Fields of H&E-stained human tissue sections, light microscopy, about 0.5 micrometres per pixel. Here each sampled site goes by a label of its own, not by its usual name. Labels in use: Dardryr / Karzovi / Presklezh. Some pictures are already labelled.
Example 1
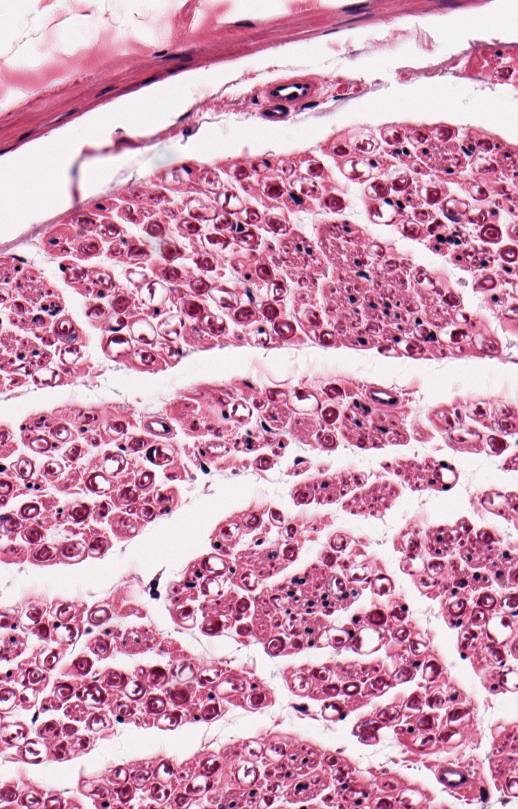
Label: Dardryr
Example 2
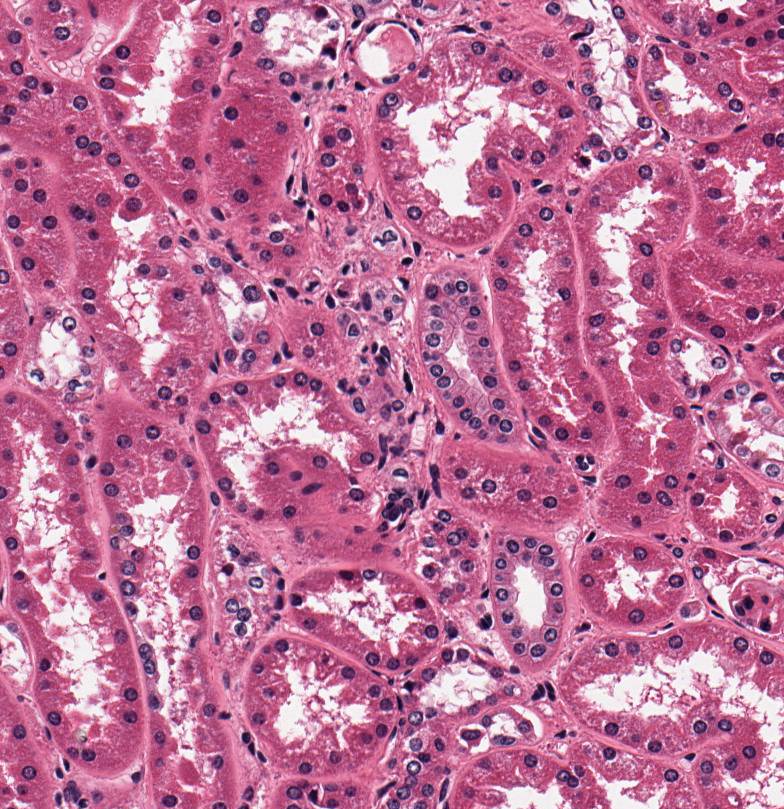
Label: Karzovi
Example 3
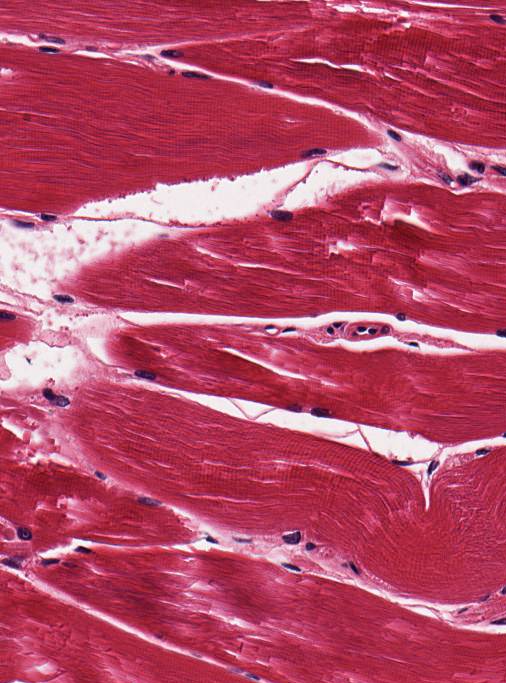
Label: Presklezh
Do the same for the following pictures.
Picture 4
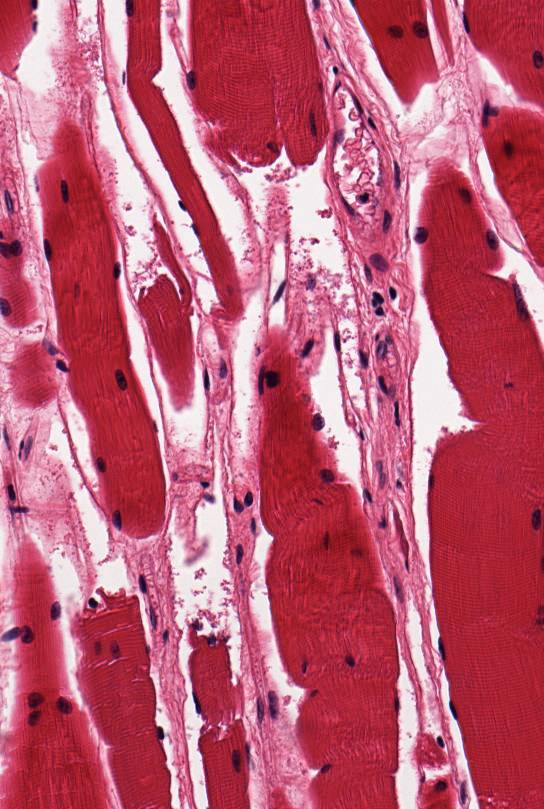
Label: Presklezh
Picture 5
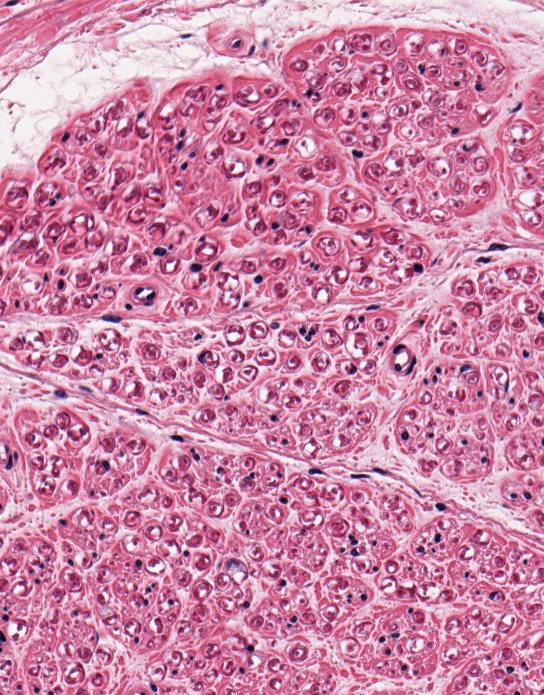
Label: Dardryr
